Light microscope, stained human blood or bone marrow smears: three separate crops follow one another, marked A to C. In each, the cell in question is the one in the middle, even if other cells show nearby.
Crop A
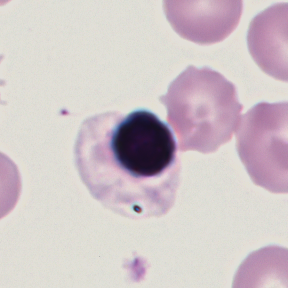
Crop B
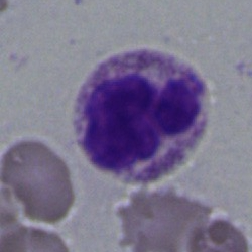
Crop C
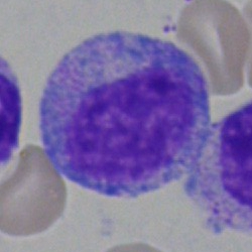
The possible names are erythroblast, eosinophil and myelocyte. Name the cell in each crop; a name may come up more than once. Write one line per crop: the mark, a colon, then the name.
A: erythroblast
B: eosinophil
C: myelocyte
